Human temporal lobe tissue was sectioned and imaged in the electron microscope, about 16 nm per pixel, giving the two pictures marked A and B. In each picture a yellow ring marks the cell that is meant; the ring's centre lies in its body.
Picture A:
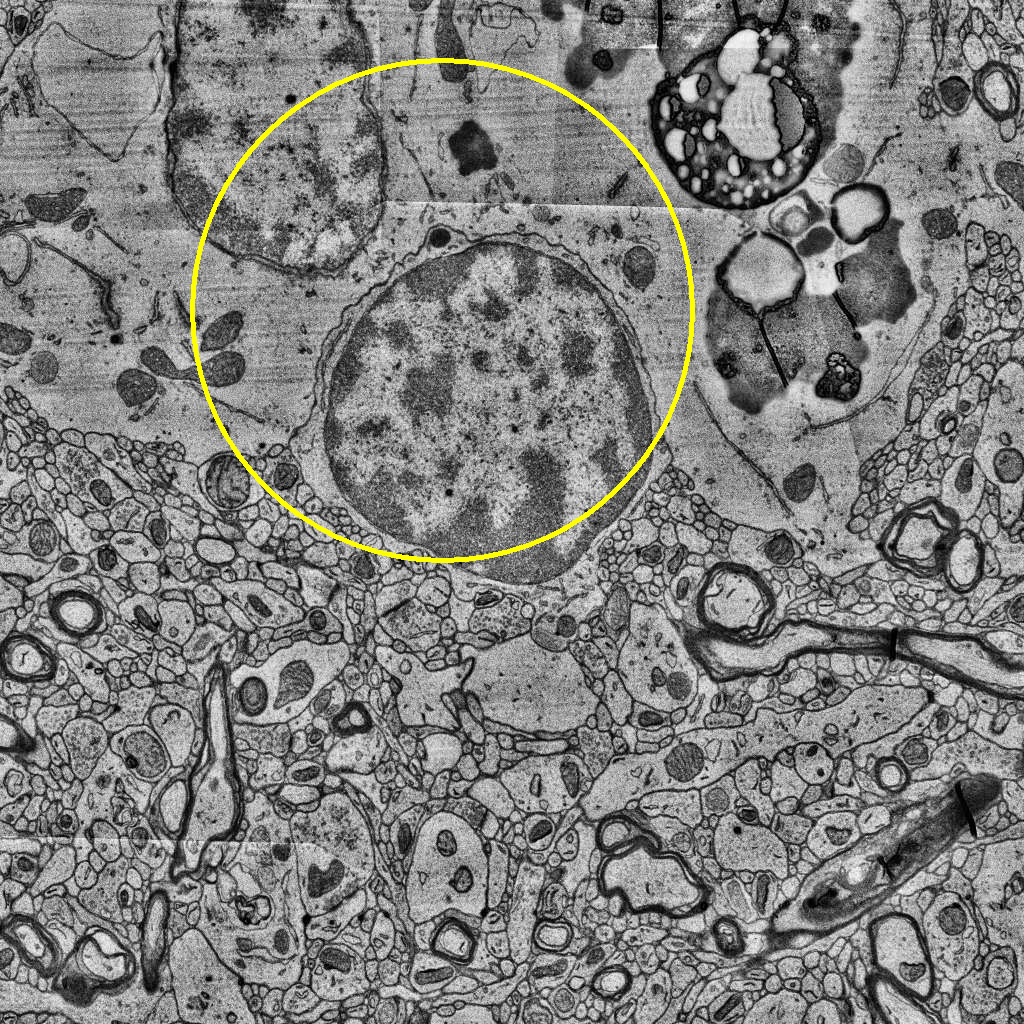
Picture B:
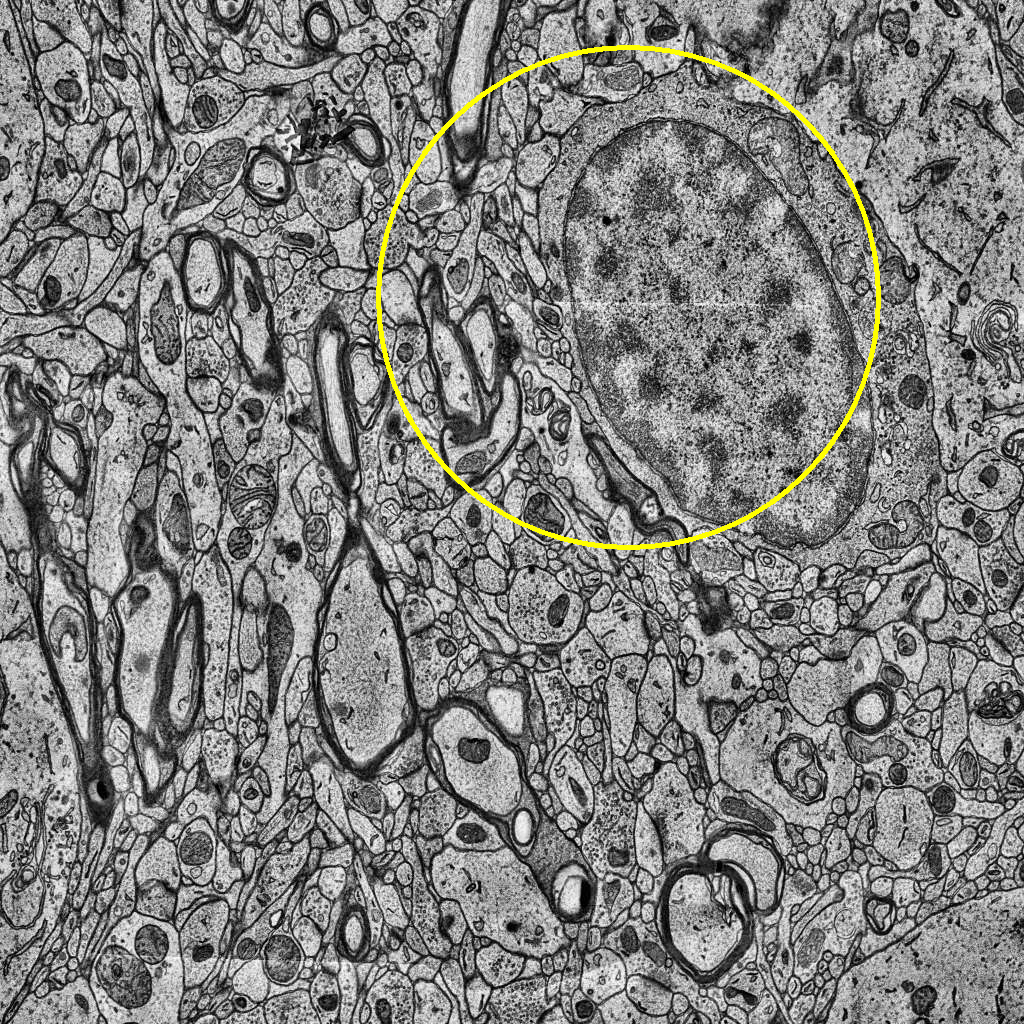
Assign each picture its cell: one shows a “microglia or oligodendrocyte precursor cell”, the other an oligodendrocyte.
Picture B shows an oligodendrocyte, while picture A shows a “microglia or oligodendrocyte precursor cell”.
